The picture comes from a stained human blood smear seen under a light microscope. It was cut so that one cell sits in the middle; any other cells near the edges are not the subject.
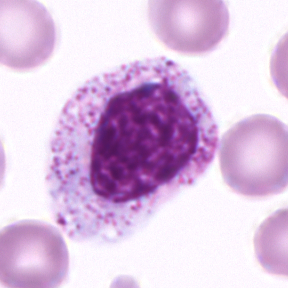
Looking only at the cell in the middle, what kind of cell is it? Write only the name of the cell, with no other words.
metamyelocyte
